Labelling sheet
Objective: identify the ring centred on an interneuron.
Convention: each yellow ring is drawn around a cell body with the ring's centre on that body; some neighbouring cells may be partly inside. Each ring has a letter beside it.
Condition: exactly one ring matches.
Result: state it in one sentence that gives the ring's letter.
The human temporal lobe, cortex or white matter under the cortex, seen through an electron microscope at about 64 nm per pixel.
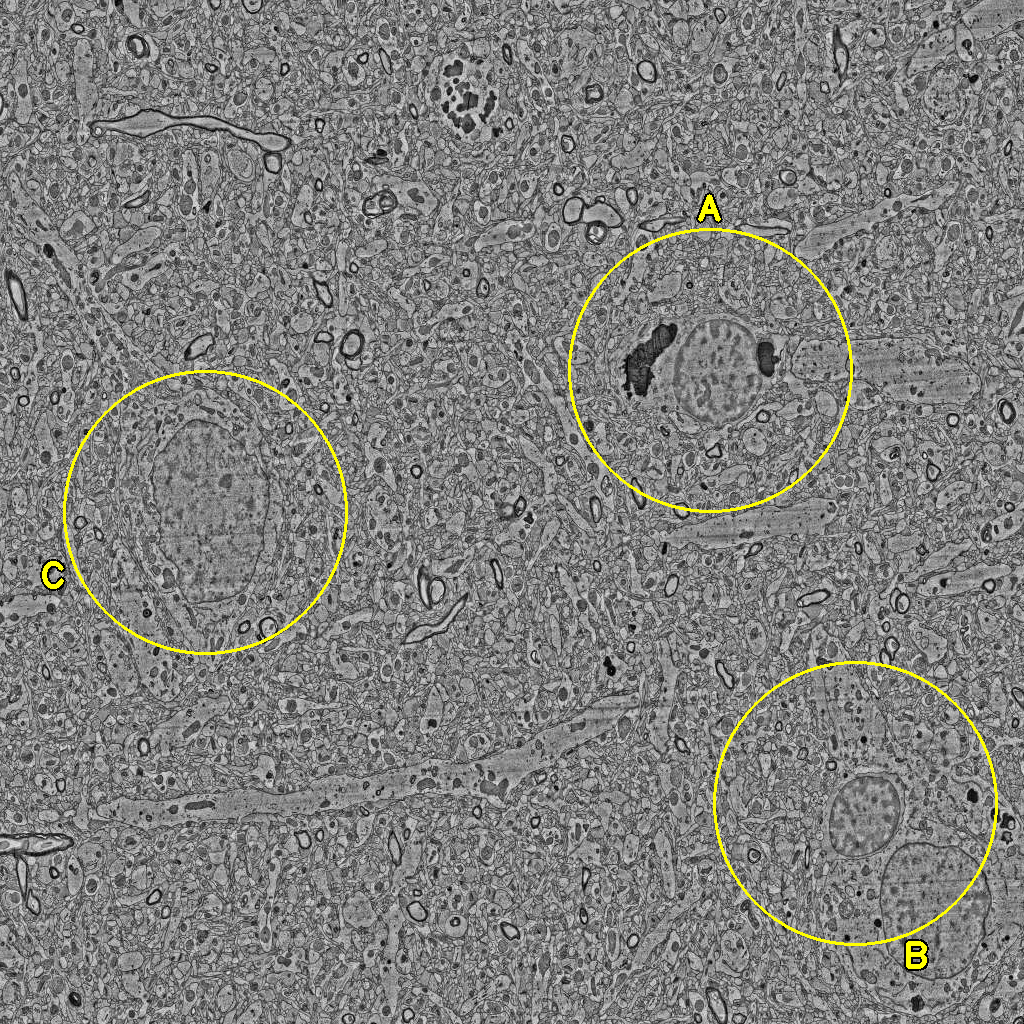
It lies at the centre of ring C.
